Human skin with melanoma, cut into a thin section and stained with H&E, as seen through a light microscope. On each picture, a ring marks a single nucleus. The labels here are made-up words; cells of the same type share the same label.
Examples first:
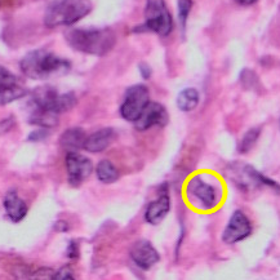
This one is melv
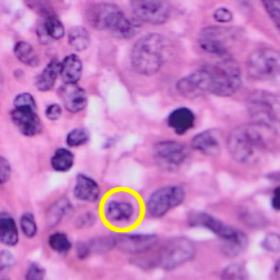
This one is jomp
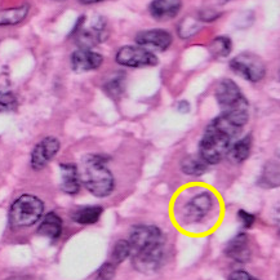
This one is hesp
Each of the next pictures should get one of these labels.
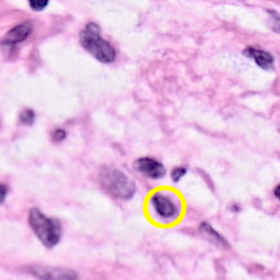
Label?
melv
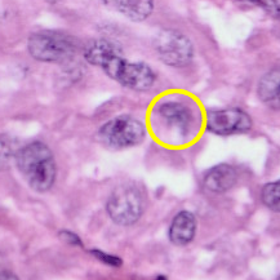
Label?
hesp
